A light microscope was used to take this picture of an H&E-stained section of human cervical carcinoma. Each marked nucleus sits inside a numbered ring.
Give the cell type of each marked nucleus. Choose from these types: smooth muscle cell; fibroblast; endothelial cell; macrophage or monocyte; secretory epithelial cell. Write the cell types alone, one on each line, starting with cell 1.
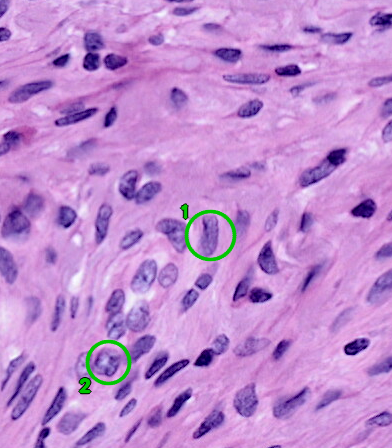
fibroblast
endothelial cell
